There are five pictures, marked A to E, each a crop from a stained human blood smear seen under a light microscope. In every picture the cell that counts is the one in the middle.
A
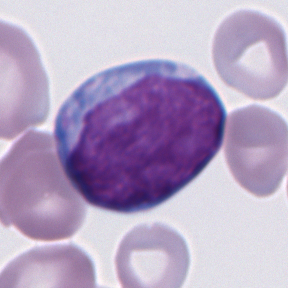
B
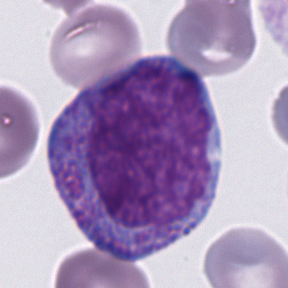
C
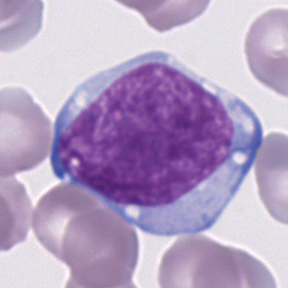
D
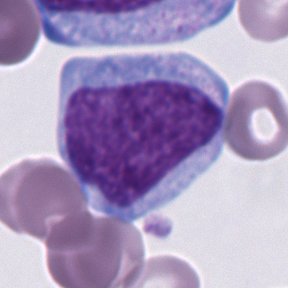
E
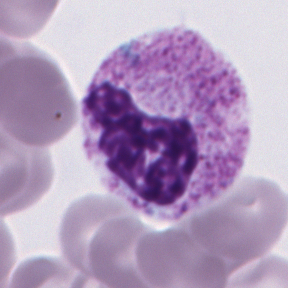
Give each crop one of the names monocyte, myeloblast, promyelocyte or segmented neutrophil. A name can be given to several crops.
A: myeloblast
B: promyelocyte
C: myeloblast
D: promyelocyte
E: segmented neutrophil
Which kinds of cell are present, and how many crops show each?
myeloblast: 2
promyelocyte: 2
segmented neutrophil: 1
